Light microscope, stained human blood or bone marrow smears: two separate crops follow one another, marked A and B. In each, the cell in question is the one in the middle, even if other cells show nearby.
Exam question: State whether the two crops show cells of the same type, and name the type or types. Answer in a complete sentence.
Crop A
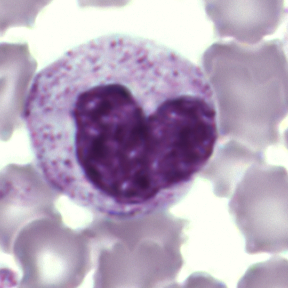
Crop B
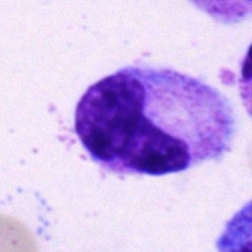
Yes, both crops in this set show metamyelocytes.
